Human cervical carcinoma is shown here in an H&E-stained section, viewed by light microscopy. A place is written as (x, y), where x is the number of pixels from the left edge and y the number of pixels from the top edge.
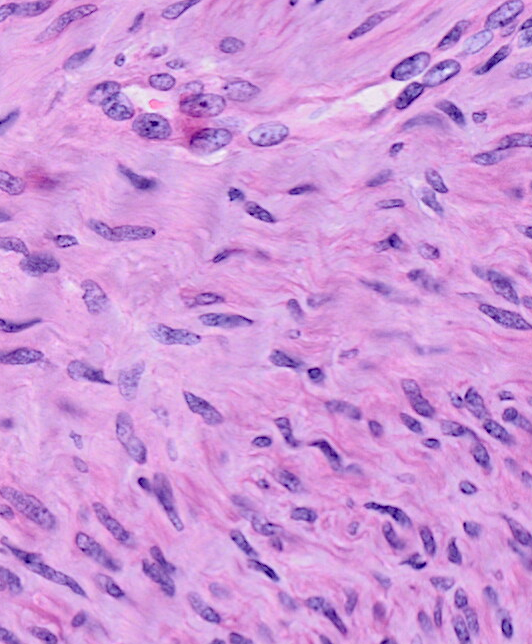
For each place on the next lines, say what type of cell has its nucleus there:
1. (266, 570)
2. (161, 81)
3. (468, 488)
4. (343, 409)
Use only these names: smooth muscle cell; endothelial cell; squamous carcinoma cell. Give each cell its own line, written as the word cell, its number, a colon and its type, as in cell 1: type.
cell 1: smooth muscle cell
cell 2: endothelial cell
cell 3: smooth muscle cell
cell 4: smooth muscle cell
